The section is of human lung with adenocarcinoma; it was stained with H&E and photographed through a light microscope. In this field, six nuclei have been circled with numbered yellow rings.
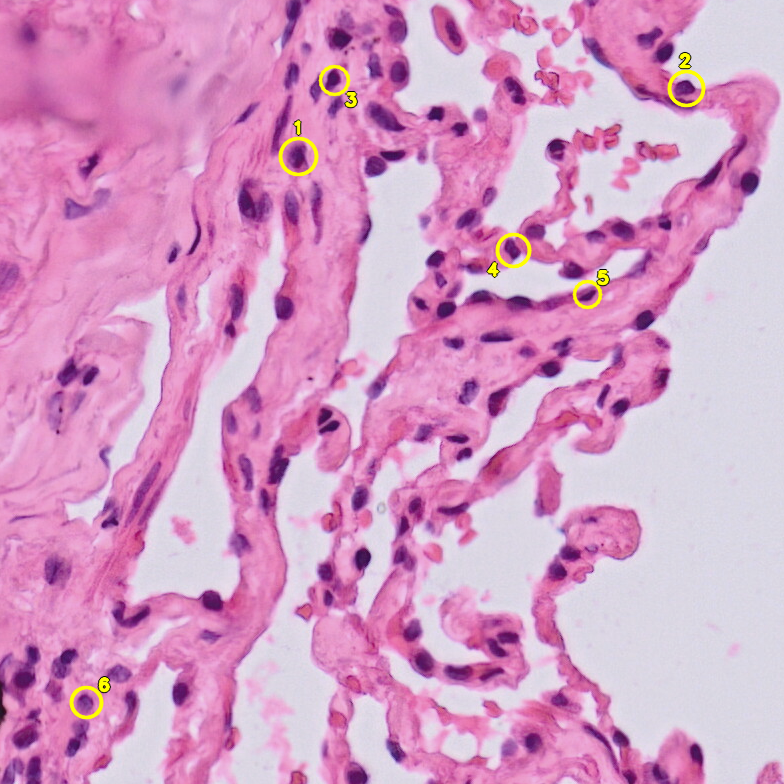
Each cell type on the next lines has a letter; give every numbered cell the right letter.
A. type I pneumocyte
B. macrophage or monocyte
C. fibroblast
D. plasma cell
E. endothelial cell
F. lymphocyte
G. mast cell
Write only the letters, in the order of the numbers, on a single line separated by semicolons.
D; A; D; A; E; G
